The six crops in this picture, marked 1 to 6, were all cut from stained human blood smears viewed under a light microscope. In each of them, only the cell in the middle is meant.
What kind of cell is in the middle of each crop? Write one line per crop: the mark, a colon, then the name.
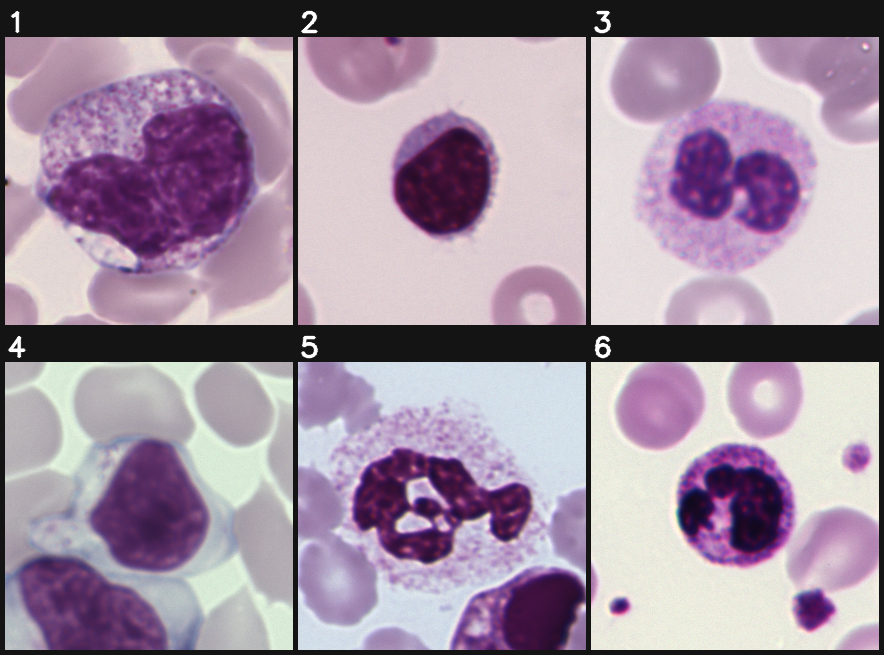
1: myelocyte
2: large granular lymphocyte
3: segmented neutrophil
4: large granular lymphocyte
5: segmented neutrophil
6: segmented neutrophil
